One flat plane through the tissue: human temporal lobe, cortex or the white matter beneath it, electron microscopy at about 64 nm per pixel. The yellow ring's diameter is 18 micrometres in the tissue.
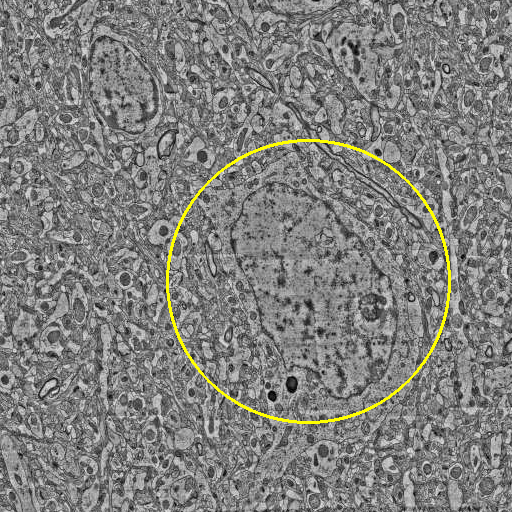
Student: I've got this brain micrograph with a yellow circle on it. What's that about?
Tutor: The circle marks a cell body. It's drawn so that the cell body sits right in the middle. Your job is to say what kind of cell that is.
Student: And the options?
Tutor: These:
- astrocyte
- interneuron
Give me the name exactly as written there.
interneuron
